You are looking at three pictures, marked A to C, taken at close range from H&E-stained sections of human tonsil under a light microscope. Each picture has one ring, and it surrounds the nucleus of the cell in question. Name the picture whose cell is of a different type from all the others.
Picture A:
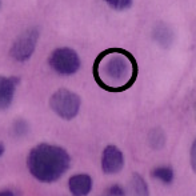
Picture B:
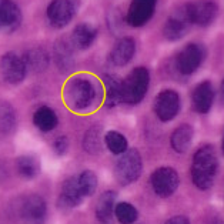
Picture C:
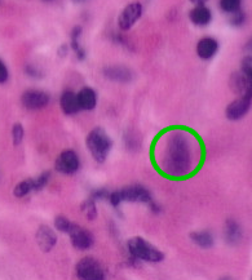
C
